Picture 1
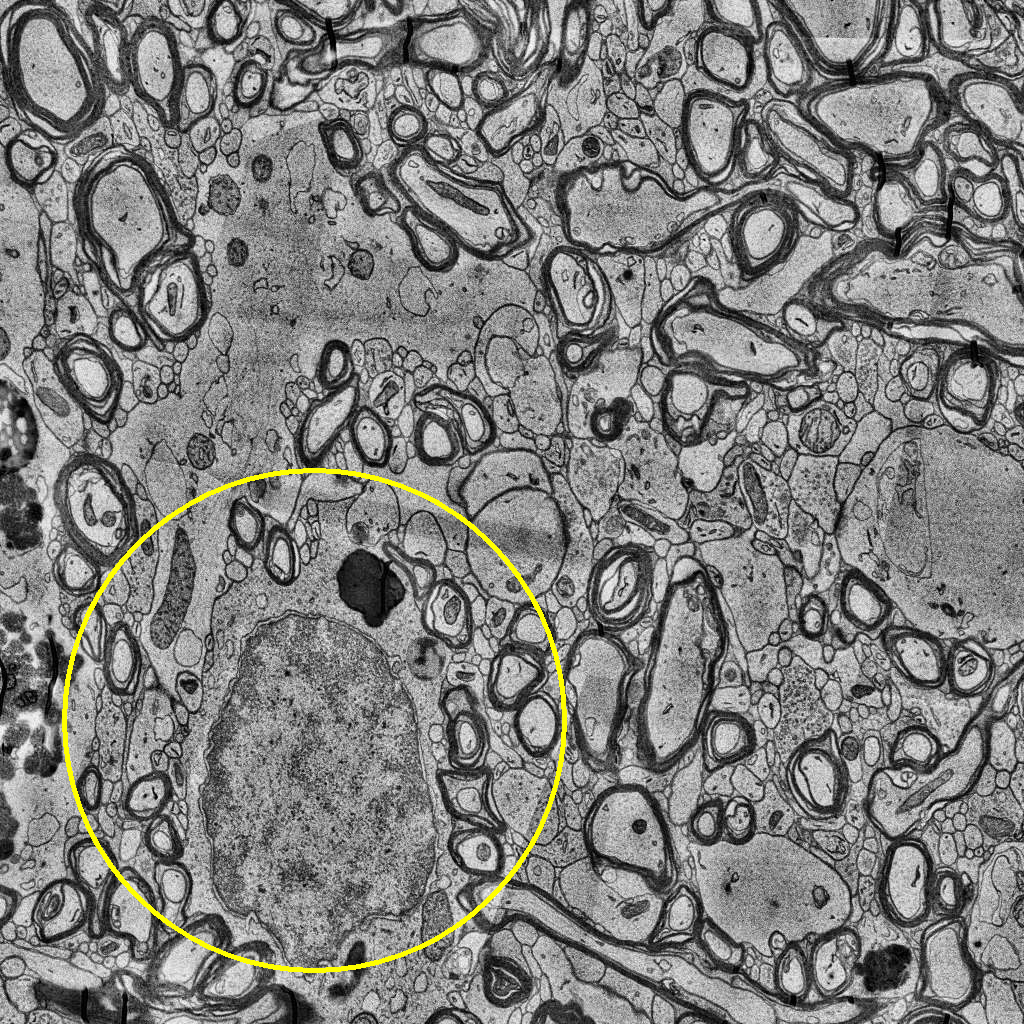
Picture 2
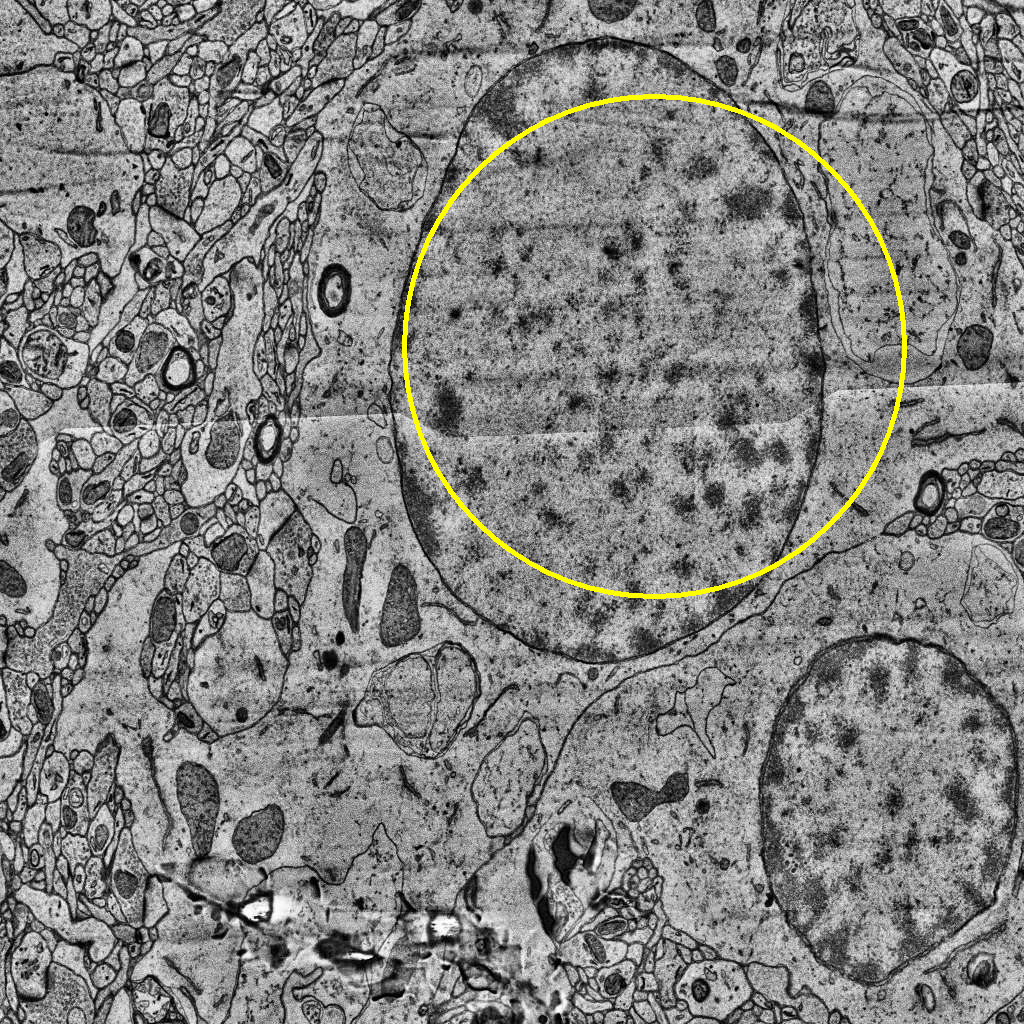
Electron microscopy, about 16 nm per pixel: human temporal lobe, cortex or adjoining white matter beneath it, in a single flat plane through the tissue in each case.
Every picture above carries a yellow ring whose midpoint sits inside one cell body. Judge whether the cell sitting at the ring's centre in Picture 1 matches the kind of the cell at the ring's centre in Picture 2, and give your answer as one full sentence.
No, the cells at the centres of the rings in Pictures 1 and 2 belong to two kinds.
